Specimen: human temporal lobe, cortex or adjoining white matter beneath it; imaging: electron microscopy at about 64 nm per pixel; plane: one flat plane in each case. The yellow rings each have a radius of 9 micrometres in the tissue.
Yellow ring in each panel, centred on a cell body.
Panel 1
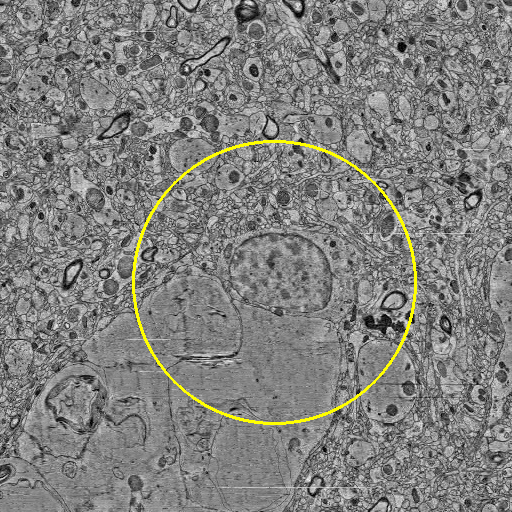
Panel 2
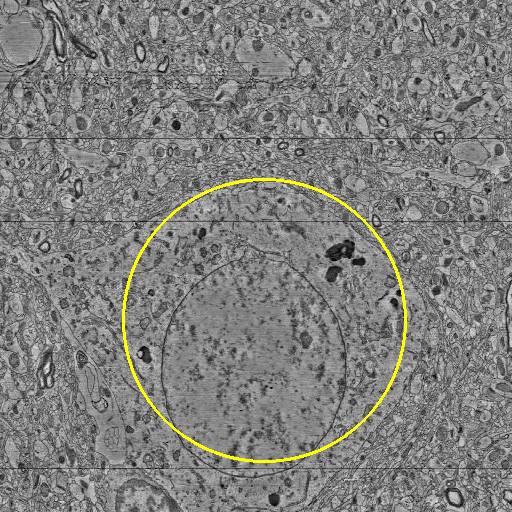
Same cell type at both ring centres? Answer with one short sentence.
No, the two cells are of two types.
